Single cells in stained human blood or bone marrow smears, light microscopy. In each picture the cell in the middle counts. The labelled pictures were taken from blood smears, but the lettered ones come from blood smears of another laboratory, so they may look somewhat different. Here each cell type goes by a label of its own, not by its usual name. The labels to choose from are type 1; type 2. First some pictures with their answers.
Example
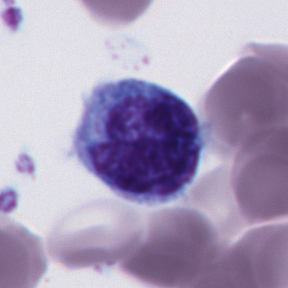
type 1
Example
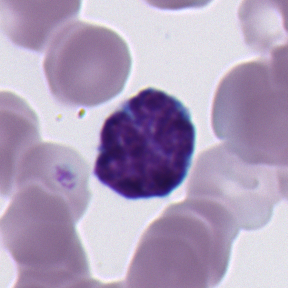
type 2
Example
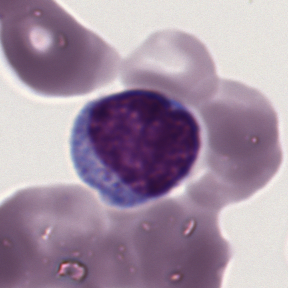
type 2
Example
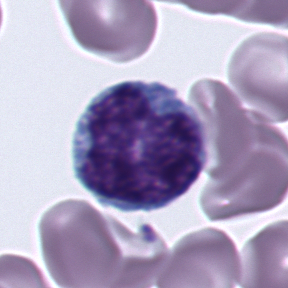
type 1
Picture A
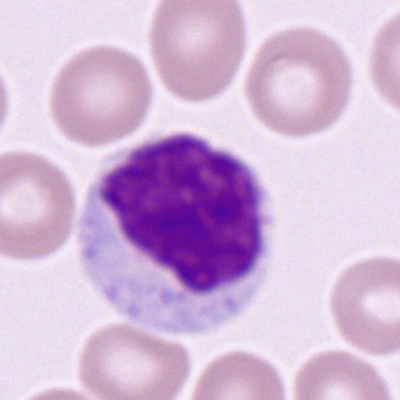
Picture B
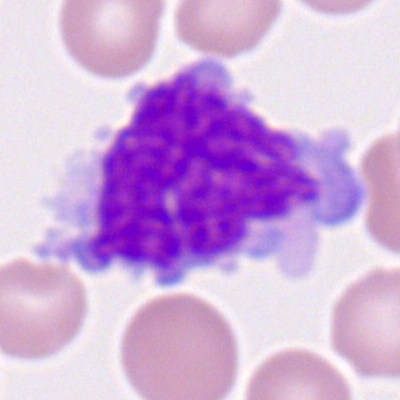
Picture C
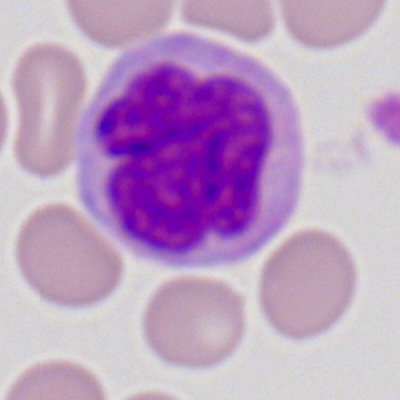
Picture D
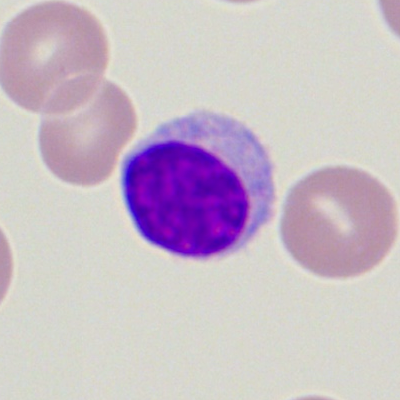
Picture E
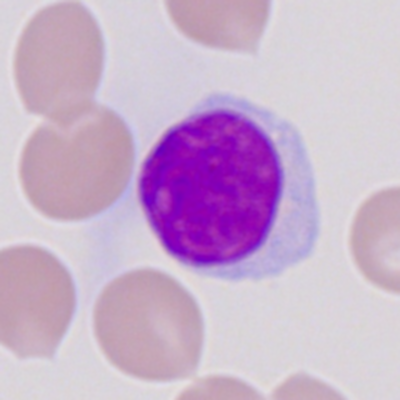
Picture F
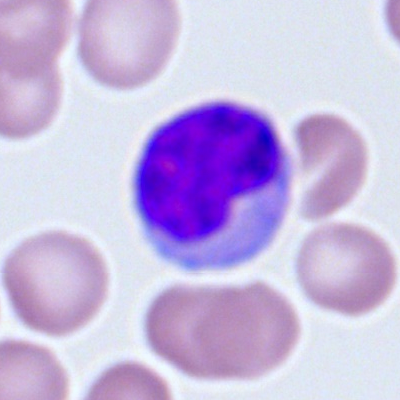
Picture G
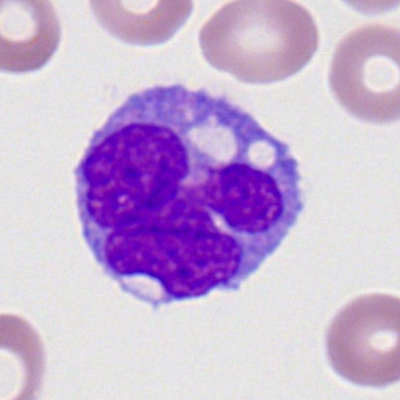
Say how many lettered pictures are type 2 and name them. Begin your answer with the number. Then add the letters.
4: A, D, E, F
